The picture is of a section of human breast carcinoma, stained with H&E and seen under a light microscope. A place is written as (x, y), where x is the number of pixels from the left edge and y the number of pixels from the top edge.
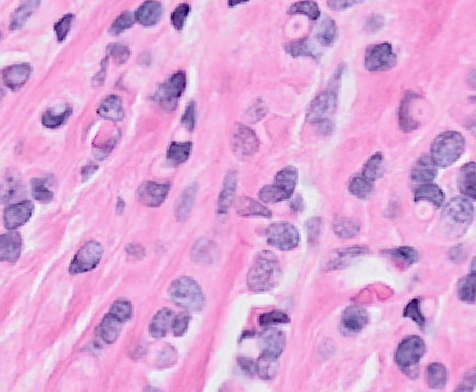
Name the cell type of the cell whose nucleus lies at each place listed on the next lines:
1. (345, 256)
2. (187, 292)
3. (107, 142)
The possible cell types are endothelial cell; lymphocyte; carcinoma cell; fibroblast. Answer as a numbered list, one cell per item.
1. endothelial cell
2. carcinoma cell
3. endothelial cell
